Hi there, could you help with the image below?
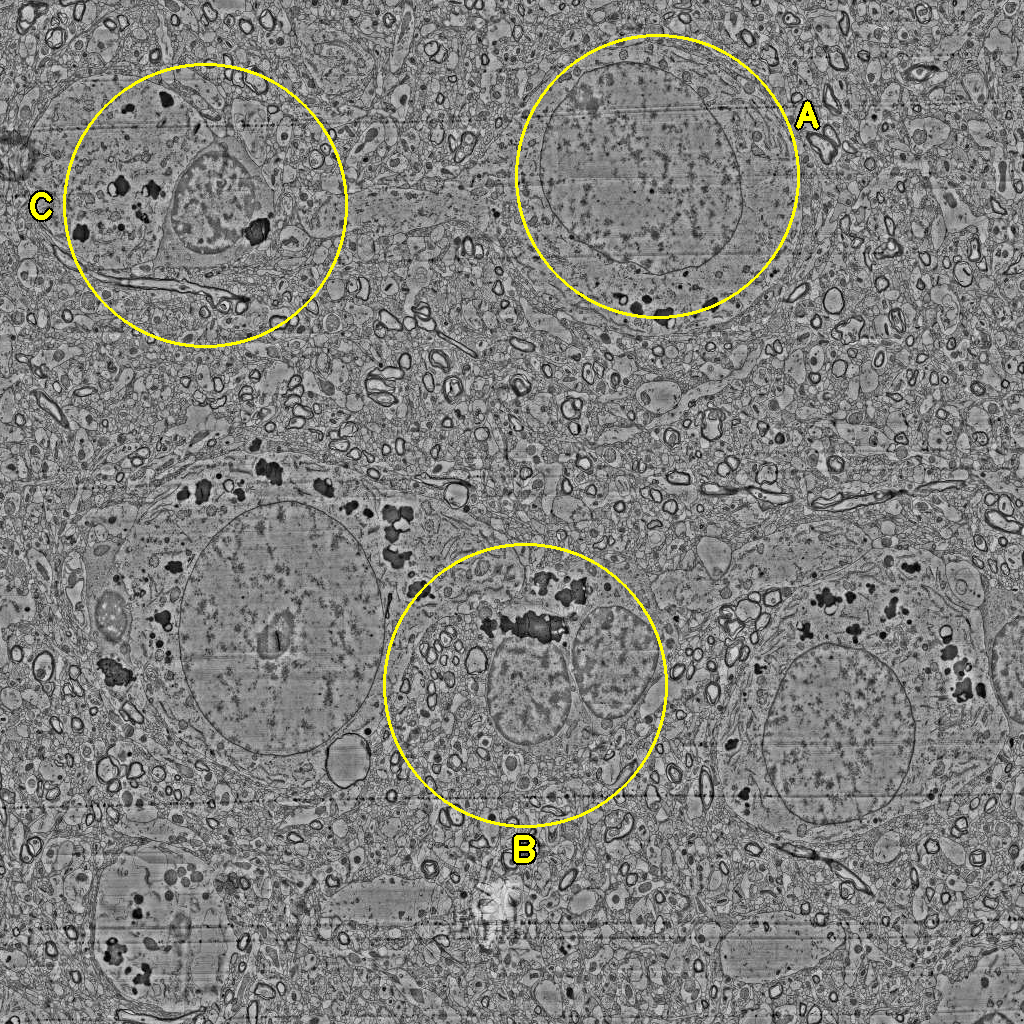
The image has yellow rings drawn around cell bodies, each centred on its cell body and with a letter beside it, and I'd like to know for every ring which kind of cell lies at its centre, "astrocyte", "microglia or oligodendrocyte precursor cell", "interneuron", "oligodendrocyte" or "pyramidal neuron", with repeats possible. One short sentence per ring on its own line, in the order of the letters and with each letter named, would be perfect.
Ring A is placed around a pyramidal neuron.
Ring B is placed around an oligodendrocyte.
Ring C is placed around an oligodendrocyte.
